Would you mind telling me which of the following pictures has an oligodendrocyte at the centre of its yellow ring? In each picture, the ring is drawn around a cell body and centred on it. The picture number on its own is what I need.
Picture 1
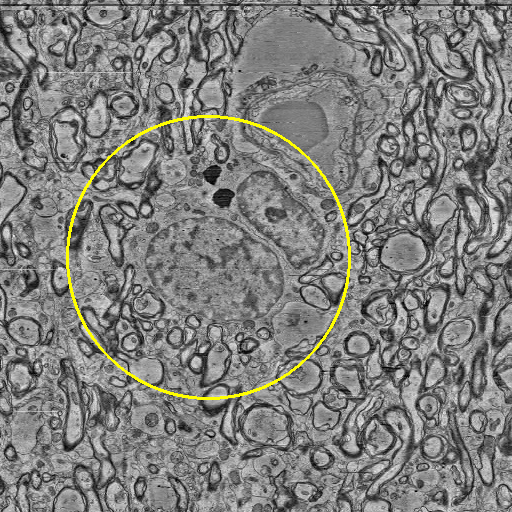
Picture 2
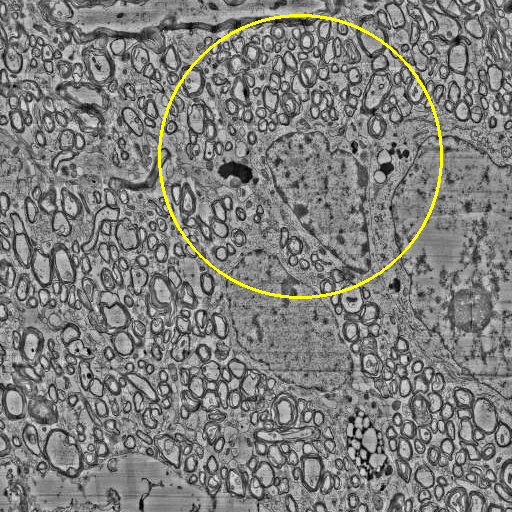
1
